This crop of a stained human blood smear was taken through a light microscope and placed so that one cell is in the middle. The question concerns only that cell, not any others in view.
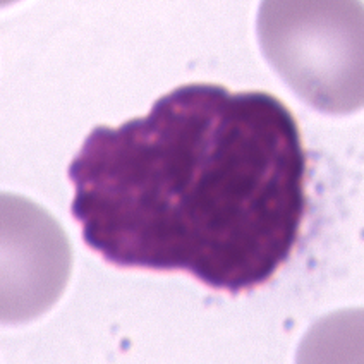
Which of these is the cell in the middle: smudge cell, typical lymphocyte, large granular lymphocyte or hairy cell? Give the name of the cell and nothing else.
smudge cell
